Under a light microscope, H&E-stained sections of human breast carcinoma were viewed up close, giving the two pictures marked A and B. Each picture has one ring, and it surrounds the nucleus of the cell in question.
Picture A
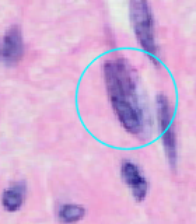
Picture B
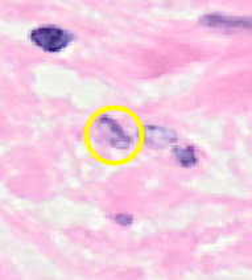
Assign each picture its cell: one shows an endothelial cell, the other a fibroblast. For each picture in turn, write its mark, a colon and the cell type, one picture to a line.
A: endothelial cell
B: fibroblast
